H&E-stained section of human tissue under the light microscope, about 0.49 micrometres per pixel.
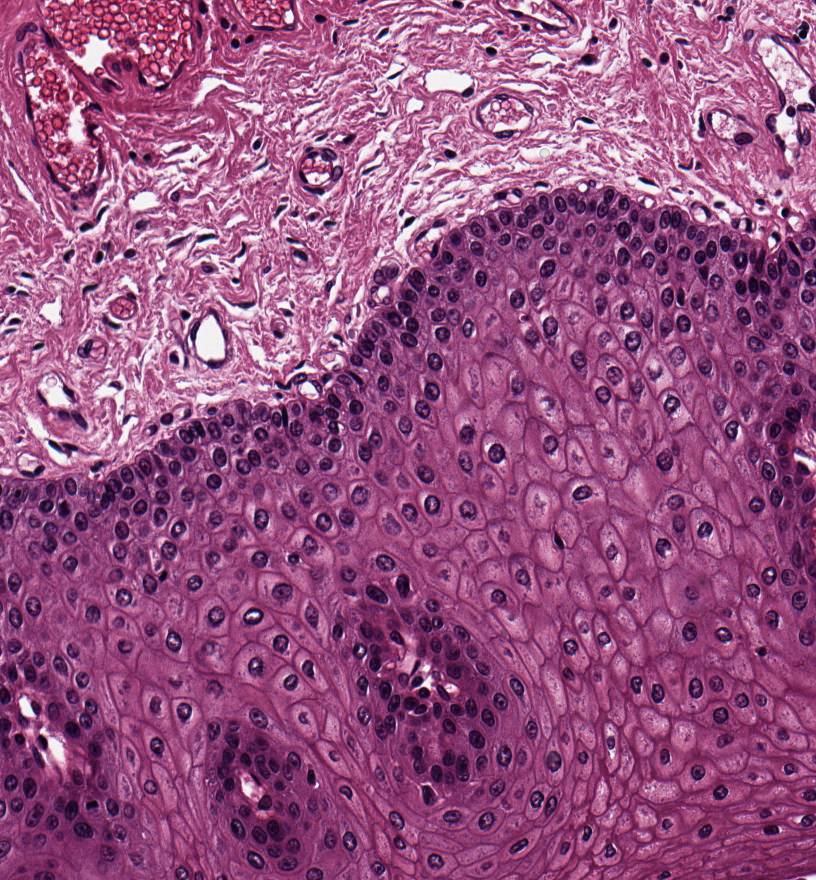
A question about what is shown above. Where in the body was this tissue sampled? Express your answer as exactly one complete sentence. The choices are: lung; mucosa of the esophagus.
The tissue sample derives from the mucosa of the esophagus.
